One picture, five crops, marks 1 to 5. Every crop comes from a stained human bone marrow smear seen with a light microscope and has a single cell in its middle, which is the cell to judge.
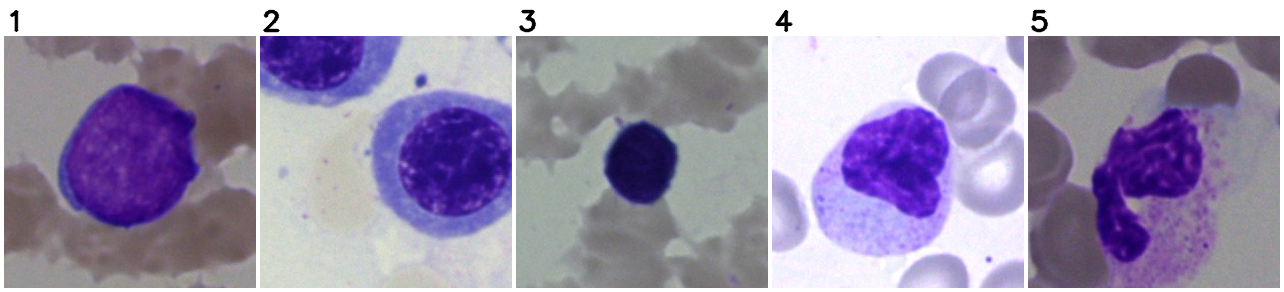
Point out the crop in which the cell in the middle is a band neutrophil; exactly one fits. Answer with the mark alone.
4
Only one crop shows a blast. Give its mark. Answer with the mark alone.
1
